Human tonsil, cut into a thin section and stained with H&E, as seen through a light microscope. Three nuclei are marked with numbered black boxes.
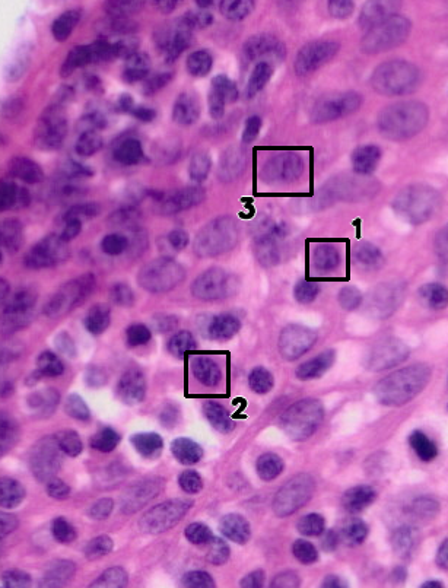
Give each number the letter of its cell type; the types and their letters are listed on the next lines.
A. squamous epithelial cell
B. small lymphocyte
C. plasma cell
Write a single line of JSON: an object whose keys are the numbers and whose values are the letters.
{"1": "C", "2": "C", "3": "A"}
